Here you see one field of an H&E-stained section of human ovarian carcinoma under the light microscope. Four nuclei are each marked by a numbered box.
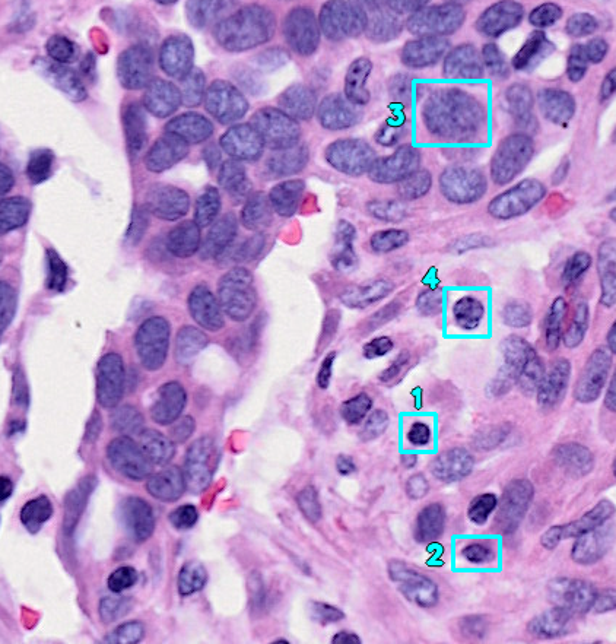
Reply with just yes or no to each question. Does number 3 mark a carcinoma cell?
yes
